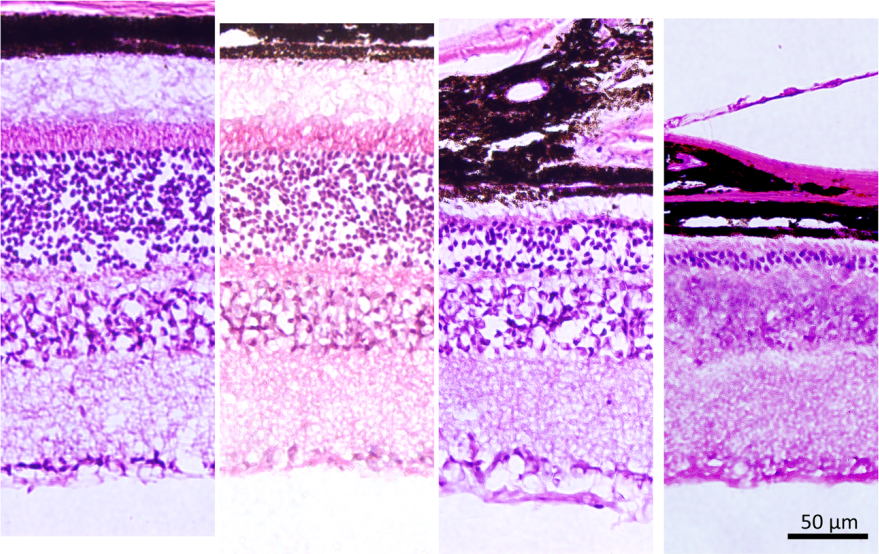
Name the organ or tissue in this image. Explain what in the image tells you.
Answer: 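Stacked parallel layers of densely packed purple nuclei alternate with pale pink fibrillar layers. A black pigmented layer lies along the top edge of each section. On this evidence: retinas.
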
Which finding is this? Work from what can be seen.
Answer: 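The thick band of densely packed nuclei just below the pigment is many rows deep in the two left sections. This band is much thinner in the third section and only a few nuclei deep in the rightmost section. That points to this answer: retinal degeneration.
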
